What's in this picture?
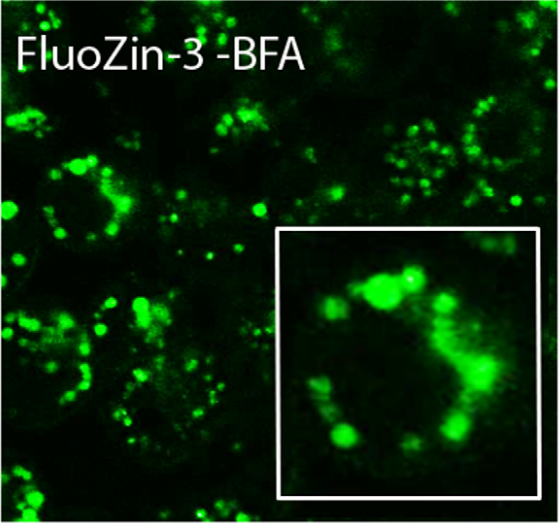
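The green lies in many bright round dots and clusters of varied size within the cytoplasm, grouped around dark unstained nuclei. Between the dots the cytoplasm is only dimly green.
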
